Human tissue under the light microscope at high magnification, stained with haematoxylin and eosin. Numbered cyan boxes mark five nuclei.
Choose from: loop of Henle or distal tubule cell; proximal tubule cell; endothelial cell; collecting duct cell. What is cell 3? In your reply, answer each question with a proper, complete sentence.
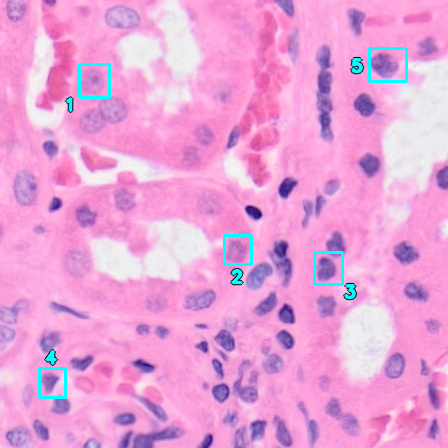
The cell indicated with the number 3 is classed as a loop of Henle or distal tubule cell.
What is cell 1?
In this section, number 1 marks a proximal tubule cell.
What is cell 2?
The cell given label 2 is a proximal tubule cell.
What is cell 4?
The one numbered 4 among the marked cells is an endothelial cell.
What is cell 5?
Cell 5 should be recorded as a loop of Henle or distal tubule cell.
